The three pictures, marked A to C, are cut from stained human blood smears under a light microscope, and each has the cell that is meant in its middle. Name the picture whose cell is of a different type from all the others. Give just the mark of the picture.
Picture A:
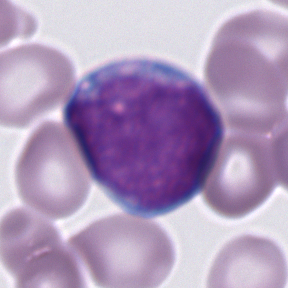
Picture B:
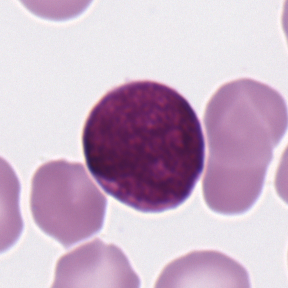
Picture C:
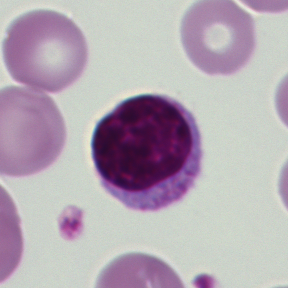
C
